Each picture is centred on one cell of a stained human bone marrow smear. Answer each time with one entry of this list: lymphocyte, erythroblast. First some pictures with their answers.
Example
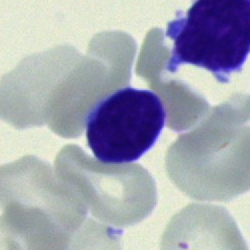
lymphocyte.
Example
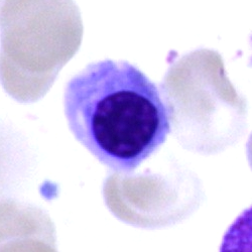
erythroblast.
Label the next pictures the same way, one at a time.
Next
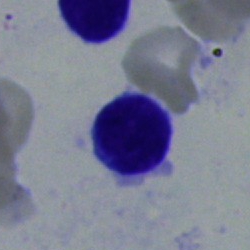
lymphocyte.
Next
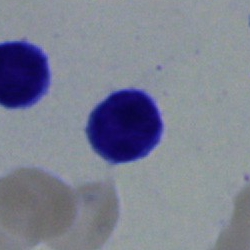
lymphocyte.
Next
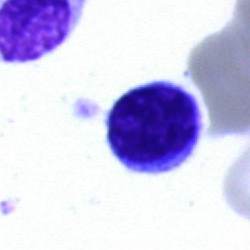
lymphocyte.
